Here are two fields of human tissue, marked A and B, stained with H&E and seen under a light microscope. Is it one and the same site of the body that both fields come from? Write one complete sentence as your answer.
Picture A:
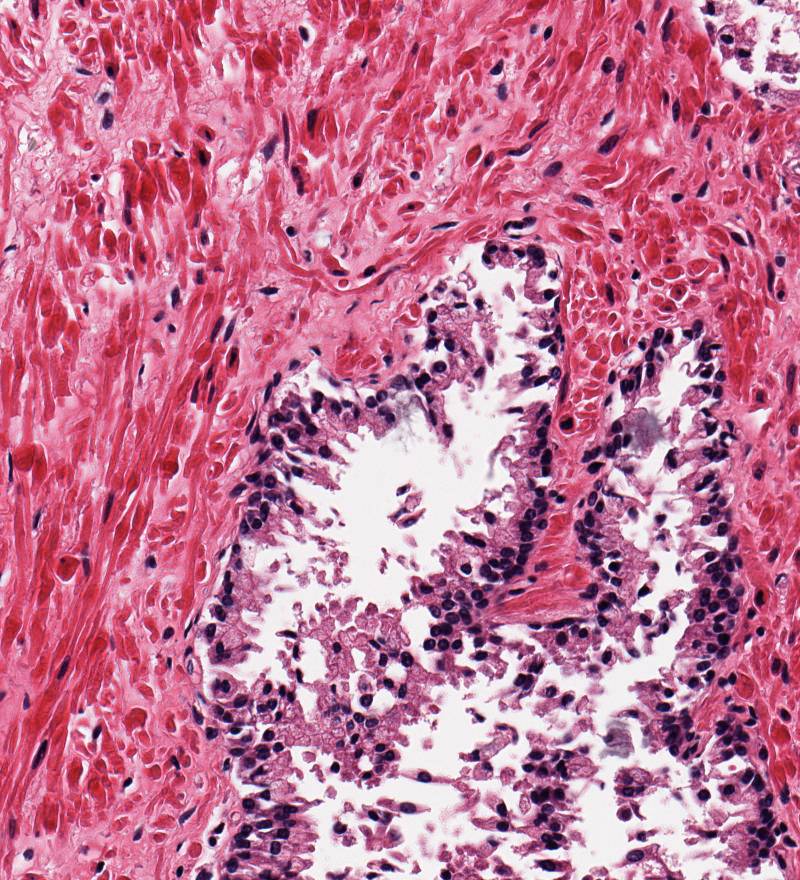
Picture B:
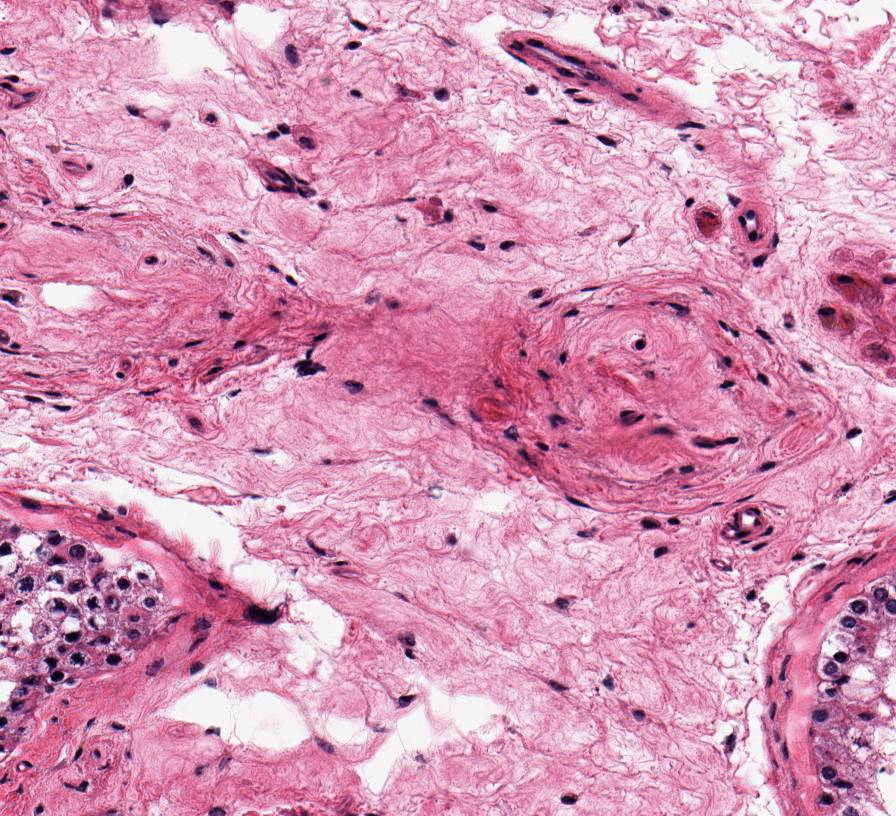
No, picture A comes from the prostate and picture B comes from the testis.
